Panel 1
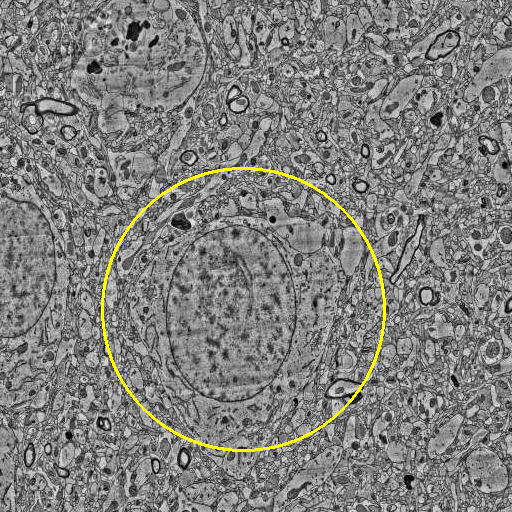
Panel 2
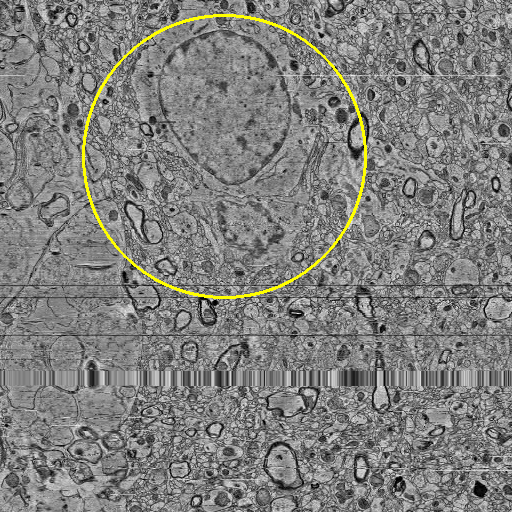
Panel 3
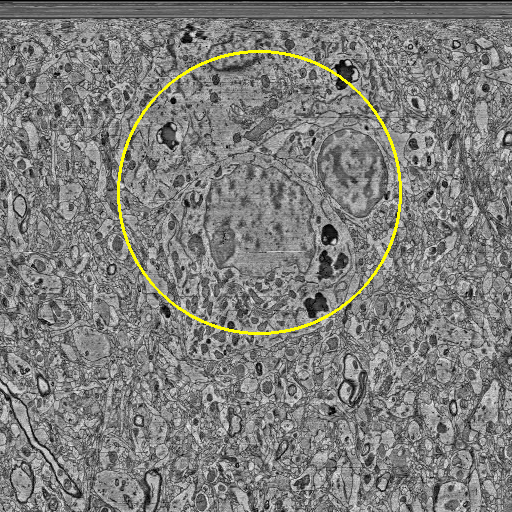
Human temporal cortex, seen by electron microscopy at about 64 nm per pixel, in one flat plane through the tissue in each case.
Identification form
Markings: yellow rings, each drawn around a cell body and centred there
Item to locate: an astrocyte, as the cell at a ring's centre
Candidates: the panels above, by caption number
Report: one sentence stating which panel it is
It is Panel 2.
